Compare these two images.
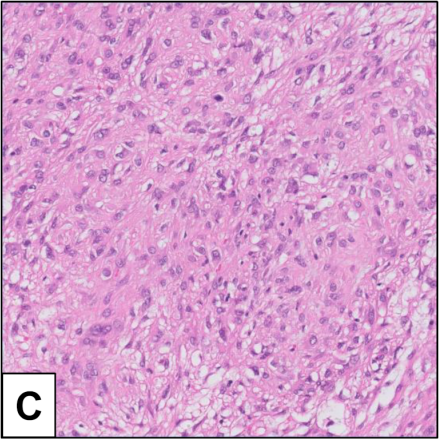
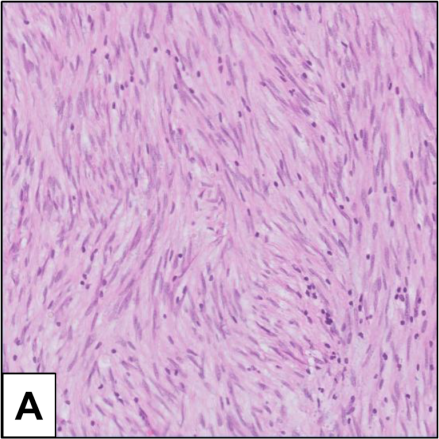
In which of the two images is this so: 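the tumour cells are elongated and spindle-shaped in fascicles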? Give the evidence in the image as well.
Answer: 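The second image. First image: rounded, polygonal cells with round nuclei in sheets. Second image: elongated cells with slender nuclei in sweeping fascicles.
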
